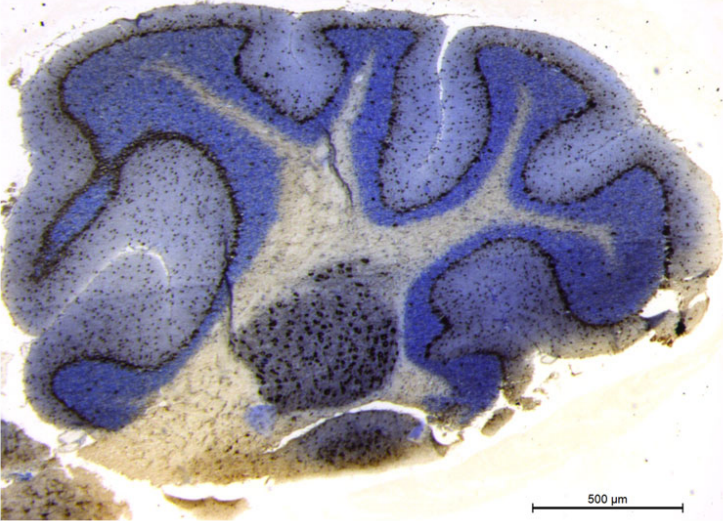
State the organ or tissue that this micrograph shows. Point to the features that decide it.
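Cerebellum. Tissue is folded into many deep folia with branching cores of pale white matter. Each folium has a dense blue inner layer and a paler outer layer separated by a thin dark line of cells. A dense cluster of dark-stained cells lies within the central pale matter.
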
